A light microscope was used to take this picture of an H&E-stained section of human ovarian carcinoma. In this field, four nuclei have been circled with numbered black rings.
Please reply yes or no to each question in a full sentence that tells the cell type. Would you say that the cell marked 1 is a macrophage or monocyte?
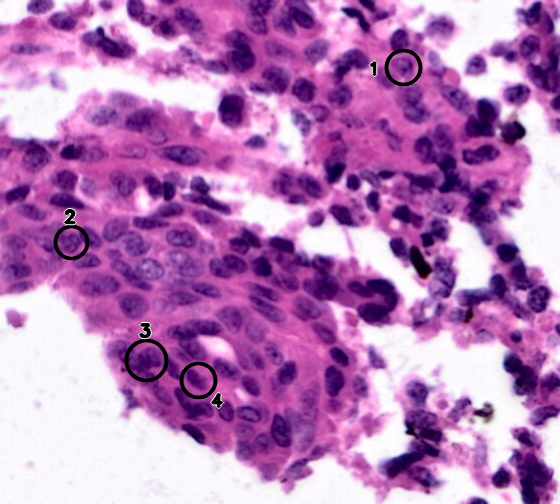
Yes, the cell sitting at number 1 is a macrophage or monocyte.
